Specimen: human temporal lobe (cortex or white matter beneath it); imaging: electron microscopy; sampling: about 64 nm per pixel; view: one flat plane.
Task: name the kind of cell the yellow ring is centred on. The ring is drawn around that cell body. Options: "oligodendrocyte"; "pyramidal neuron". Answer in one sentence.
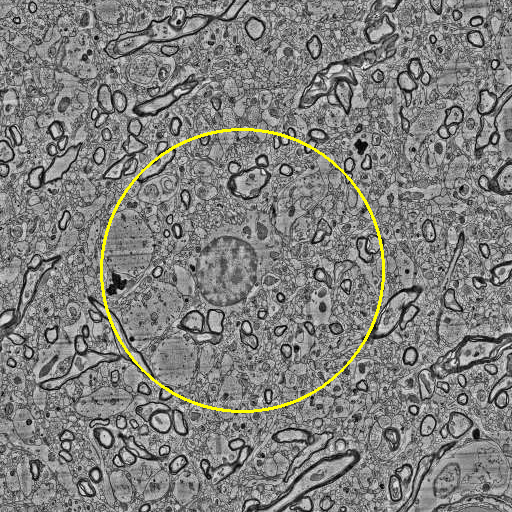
This cell body belongs to an oligodendrocyte.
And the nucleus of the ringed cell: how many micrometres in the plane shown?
In this plane, the nucleus of the cell at the centre of the ring is about 4 micrometres across.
